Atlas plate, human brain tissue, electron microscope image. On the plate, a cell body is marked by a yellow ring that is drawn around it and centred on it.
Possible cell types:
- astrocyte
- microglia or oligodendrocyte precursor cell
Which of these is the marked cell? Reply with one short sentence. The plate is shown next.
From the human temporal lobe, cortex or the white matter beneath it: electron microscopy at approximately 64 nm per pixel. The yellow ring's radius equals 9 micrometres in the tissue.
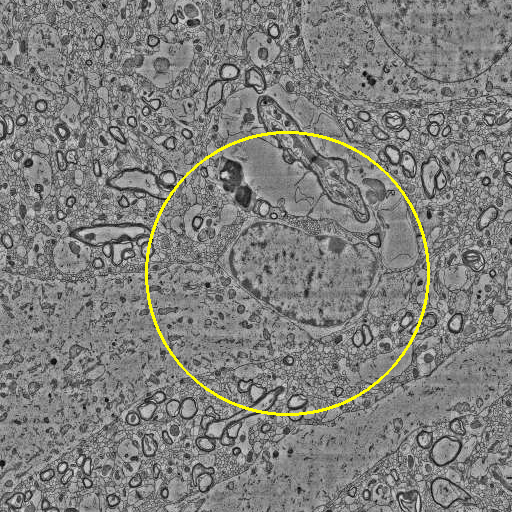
The marked cell is a microglial cell or oligodendrocyte precursor cell.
